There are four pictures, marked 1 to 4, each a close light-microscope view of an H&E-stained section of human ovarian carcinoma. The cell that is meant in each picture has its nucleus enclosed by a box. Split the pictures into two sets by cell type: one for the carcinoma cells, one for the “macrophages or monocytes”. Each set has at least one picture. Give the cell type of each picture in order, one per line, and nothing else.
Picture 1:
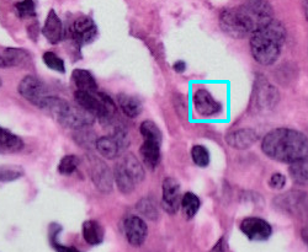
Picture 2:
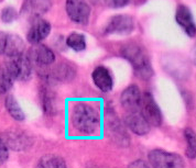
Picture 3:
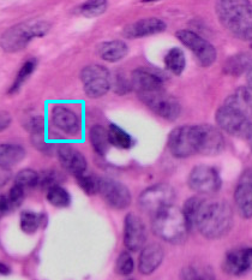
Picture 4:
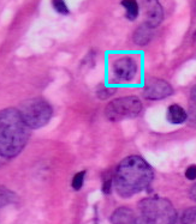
macrophage or monocyte
macrophage or monocyte
carcinoma cell
macrophage or monocyte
